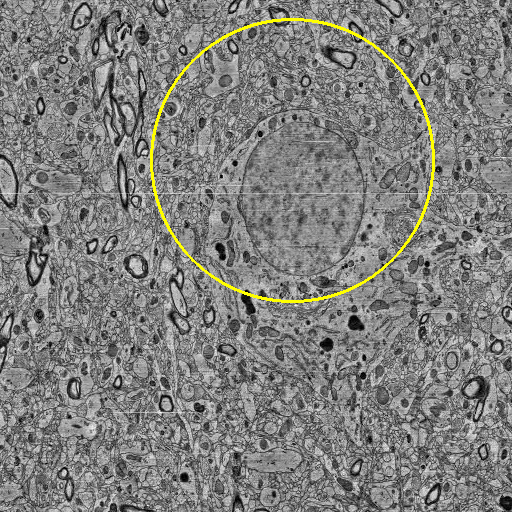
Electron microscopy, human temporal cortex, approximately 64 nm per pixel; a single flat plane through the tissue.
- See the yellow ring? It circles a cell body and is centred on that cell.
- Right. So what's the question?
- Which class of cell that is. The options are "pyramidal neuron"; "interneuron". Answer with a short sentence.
The centre of the ring holds an interneuron.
